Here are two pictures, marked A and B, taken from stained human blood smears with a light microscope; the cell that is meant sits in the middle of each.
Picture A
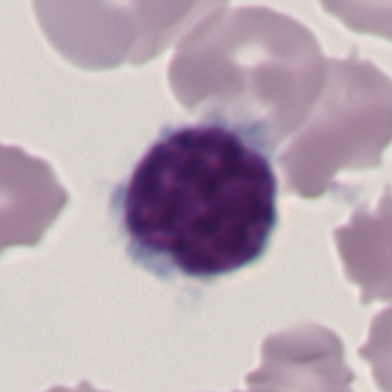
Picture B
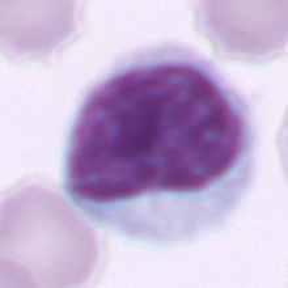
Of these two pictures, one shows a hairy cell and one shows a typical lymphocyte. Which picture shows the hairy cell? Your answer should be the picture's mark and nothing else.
A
